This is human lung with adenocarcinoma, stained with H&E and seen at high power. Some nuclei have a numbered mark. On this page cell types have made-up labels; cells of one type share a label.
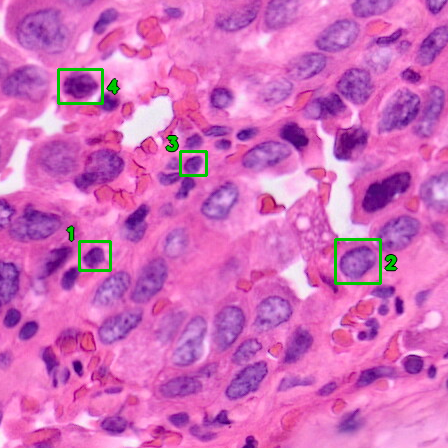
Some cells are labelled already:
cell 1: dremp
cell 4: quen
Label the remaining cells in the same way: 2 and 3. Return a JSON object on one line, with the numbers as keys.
{"2": "quen", "3": "dremp"}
